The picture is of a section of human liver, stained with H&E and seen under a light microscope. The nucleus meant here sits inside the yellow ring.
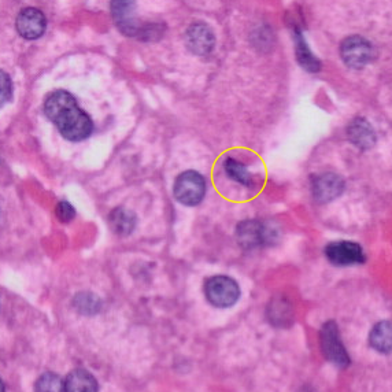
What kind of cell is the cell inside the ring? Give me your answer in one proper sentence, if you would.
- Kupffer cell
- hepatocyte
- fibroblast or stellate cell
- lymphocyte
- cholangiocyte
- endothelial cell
As a matter of cell type, the cell inside the ring is a fibroblast or stellate cell.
